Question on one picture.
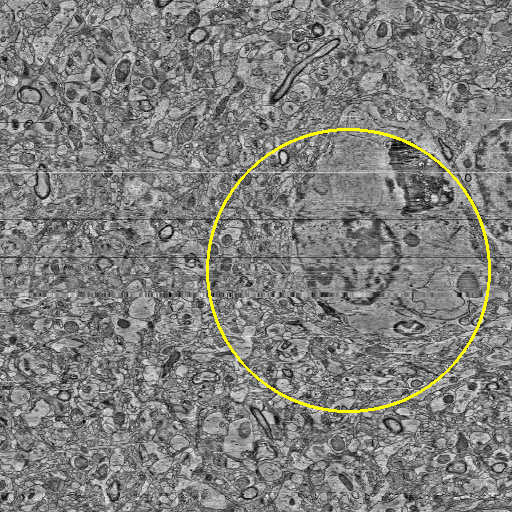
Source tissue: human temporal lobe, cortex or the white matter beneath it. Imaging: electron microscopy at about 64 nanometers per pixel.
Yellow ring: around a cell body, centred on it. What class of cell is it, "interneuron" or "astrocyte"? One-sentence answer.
This is an astrocyte, the cell the ring is centred on.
